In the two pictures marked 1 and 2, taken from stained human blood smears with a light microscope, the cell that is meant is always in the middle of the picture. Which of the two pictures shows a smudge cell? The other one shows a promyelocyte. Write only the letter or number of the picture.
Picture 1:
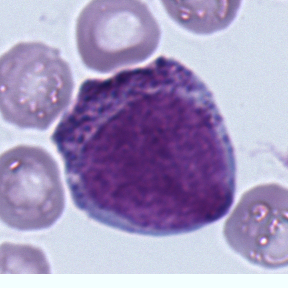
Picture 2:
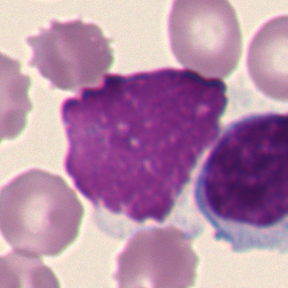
2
